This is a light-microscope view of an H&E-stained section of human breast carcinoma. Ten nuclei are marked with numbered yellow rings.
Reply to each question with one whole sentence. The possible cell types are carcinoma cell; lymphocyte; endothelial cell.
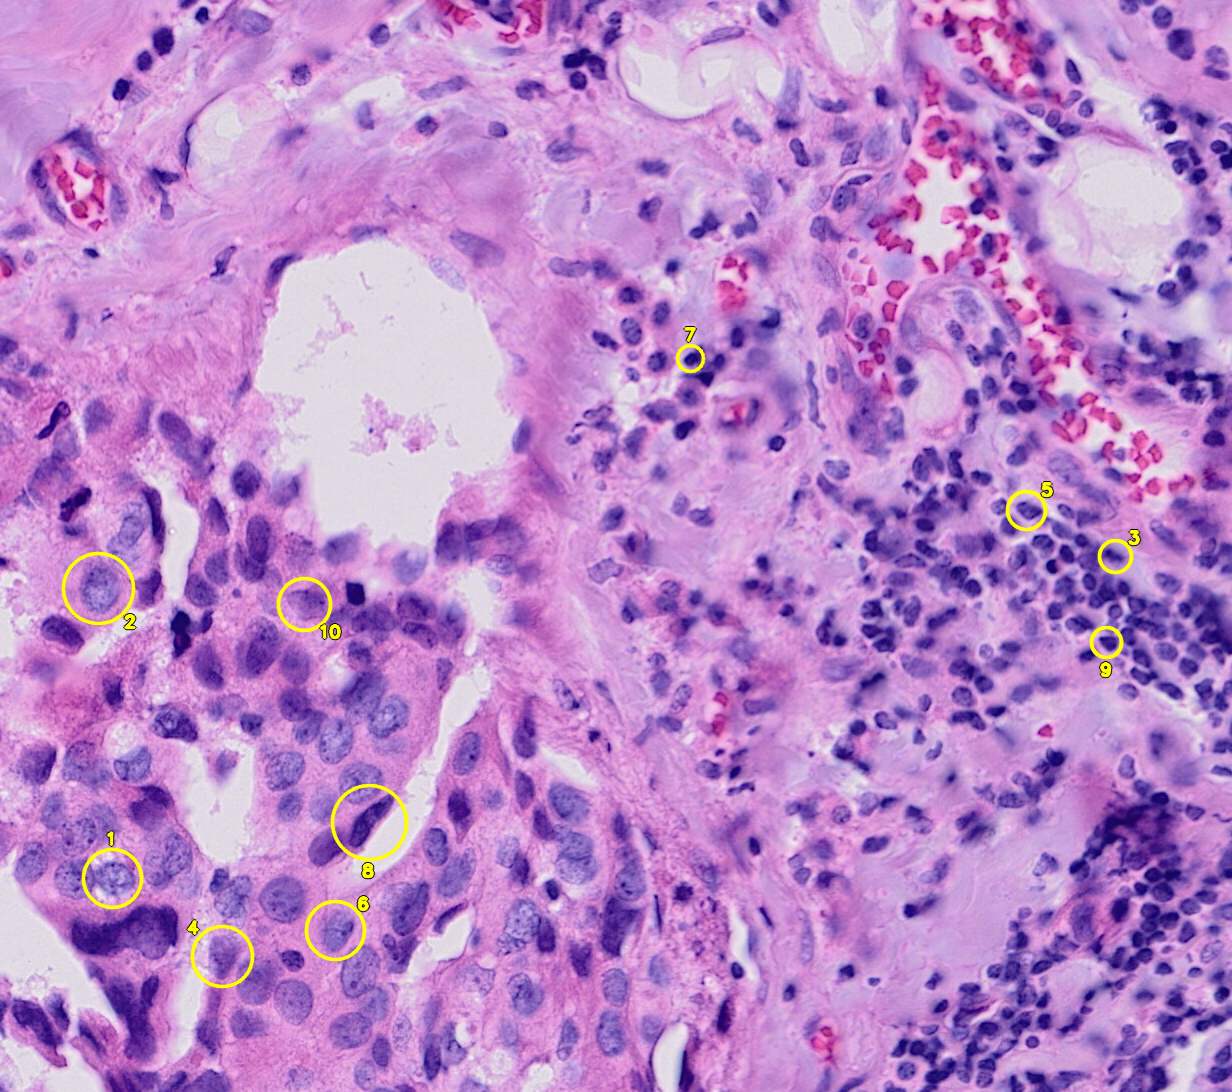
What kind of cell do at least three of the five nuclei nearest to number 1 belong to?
Of the five nuclei nearest to number 1, most belong to carcinoma cells.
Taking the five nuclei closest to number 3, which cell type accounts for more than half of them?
Lymphocytes account for more than half of the five nuclei nearest to number 3.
